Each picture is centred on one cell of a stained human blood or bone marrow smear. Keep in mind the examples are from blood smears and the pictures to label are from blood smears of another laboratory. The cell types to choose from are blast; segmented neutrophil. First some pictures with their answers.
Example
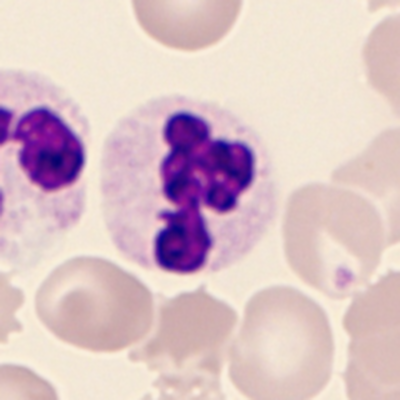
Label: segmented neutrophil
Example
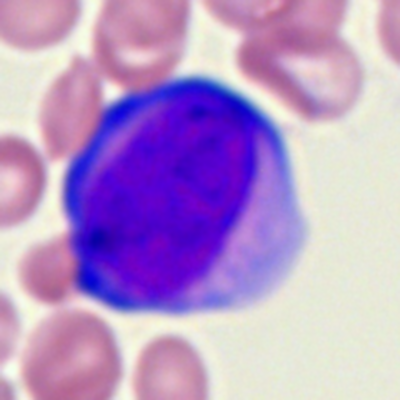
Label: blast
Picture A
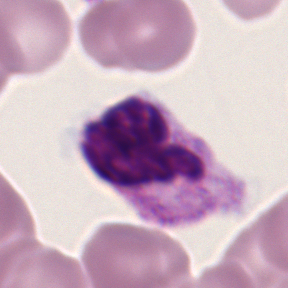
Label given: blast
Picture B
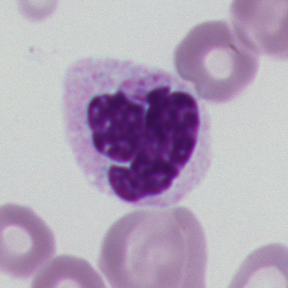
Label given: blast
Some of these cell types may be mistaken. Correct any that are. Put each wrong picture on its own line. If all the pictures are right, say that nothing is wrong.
A: change blast to segmented neutrophil
B: change blast to segmented neutrophil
